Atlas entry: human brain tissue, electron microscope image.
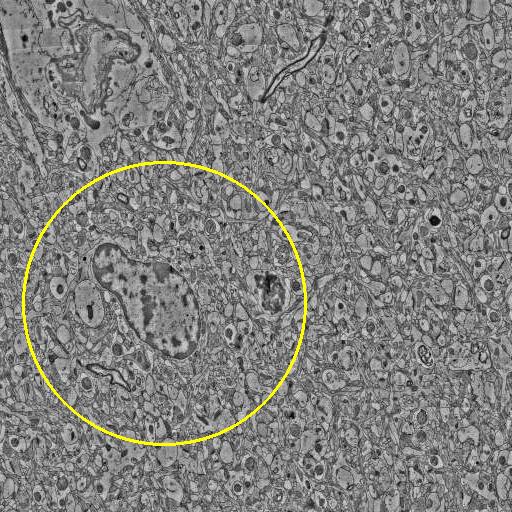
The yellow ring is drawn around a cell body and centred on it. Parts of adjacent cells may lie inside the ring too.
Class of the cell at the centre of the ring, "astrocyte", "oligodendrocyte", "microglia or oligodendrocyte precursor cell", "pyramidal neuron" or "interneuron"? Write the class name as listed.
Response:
microglia or oligodendrocyte precursor cell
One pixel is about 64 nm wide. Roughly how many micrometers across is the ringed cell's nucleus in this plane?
The ringed cell's nucleus is roughly 8 by 5 micrometres and clearly longer than it is wide in this plane.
